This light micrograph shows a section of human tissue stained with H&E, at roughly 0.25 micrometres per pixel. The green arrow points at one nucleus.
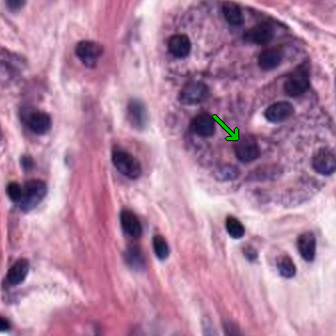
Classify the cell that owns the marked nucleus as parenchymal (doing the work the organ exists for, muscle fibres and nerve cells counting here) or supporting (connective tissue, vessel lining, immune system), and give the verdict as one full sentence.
It is a parenchymal cell, namely a chief cell, to which the marked nucleus belongs.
